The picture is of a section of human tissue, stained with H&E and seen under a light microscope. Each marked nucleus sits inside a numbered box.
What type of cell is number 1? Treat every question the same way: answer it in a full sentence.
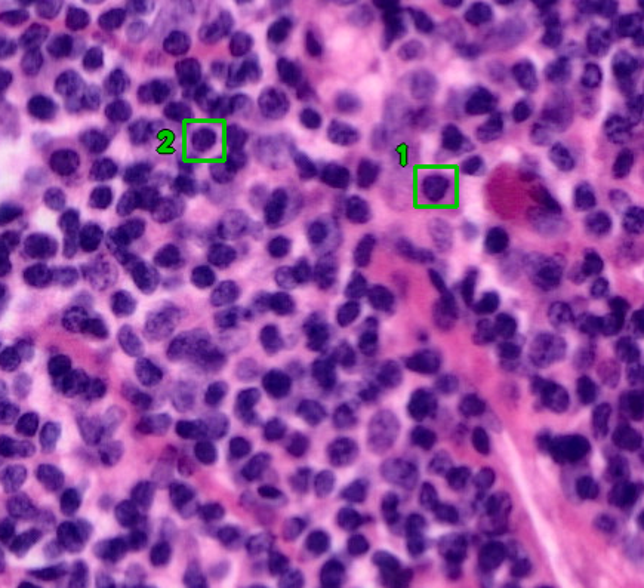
The identity of cell 1 is that of a plasma cell.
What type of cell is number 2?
The cell that bears the number 2 is a small lymphocyte.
